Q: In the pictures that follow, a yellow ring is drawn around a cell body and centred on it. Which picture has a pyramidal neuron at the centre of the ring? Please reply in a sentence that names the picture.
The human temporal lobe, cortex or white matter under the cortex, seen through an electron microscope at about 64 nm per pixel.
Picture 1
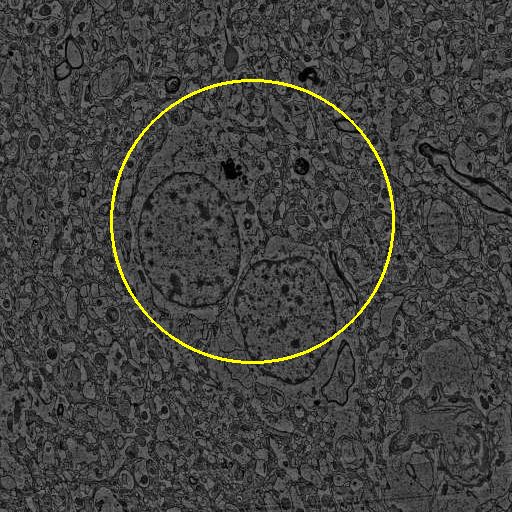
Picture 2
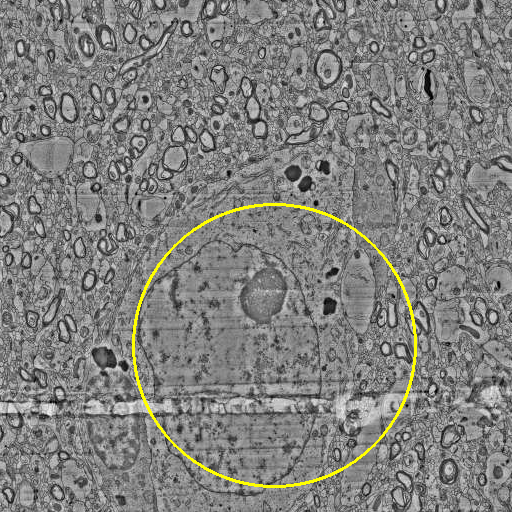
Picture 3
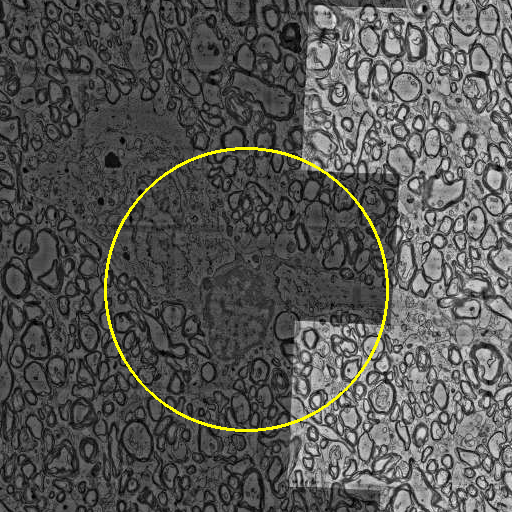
Picture 2 shows it at the centre of its ring.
